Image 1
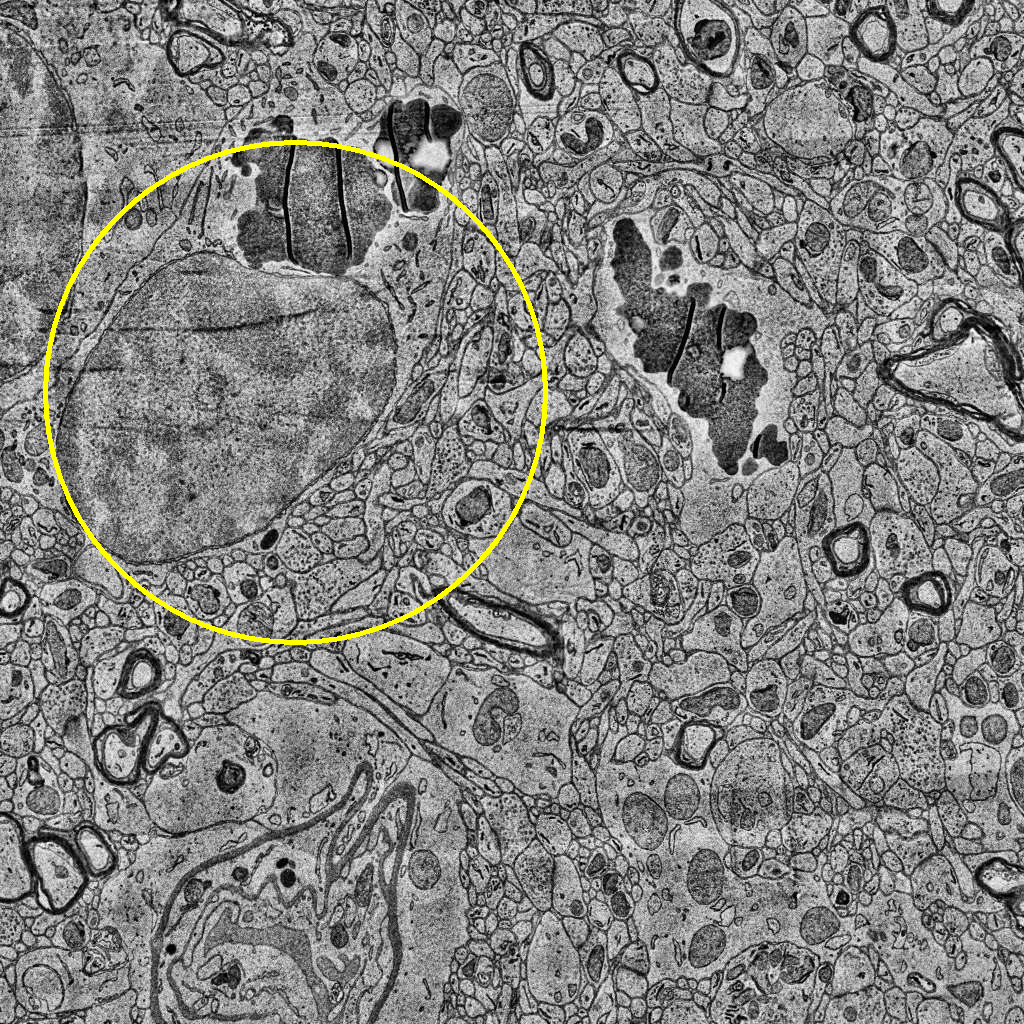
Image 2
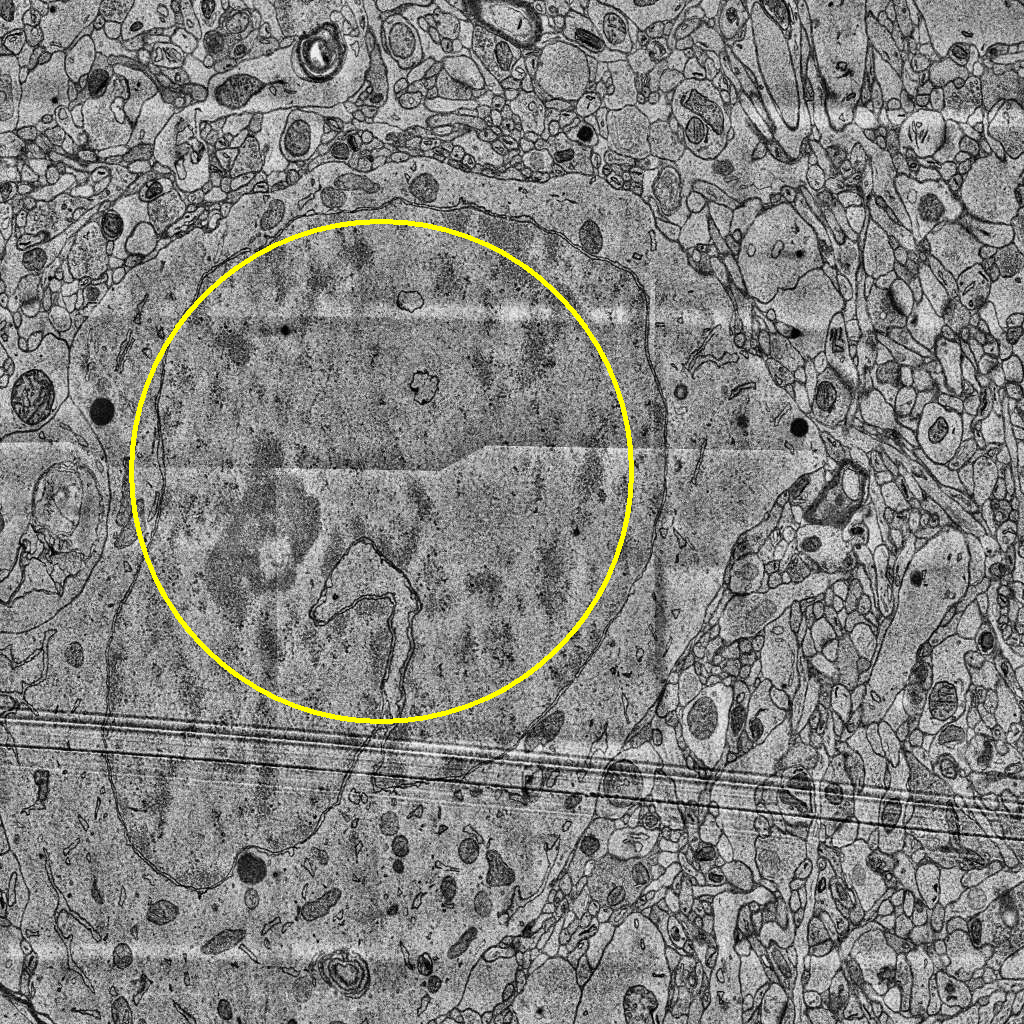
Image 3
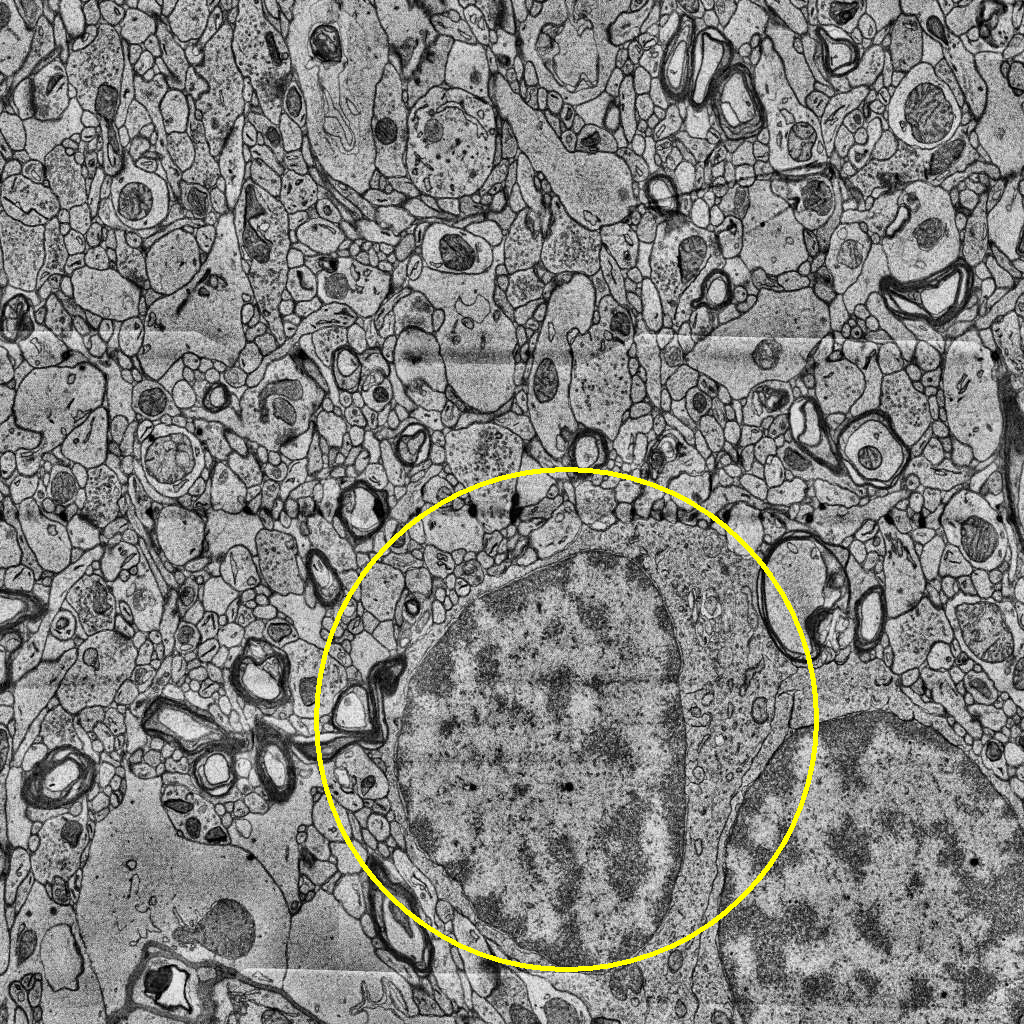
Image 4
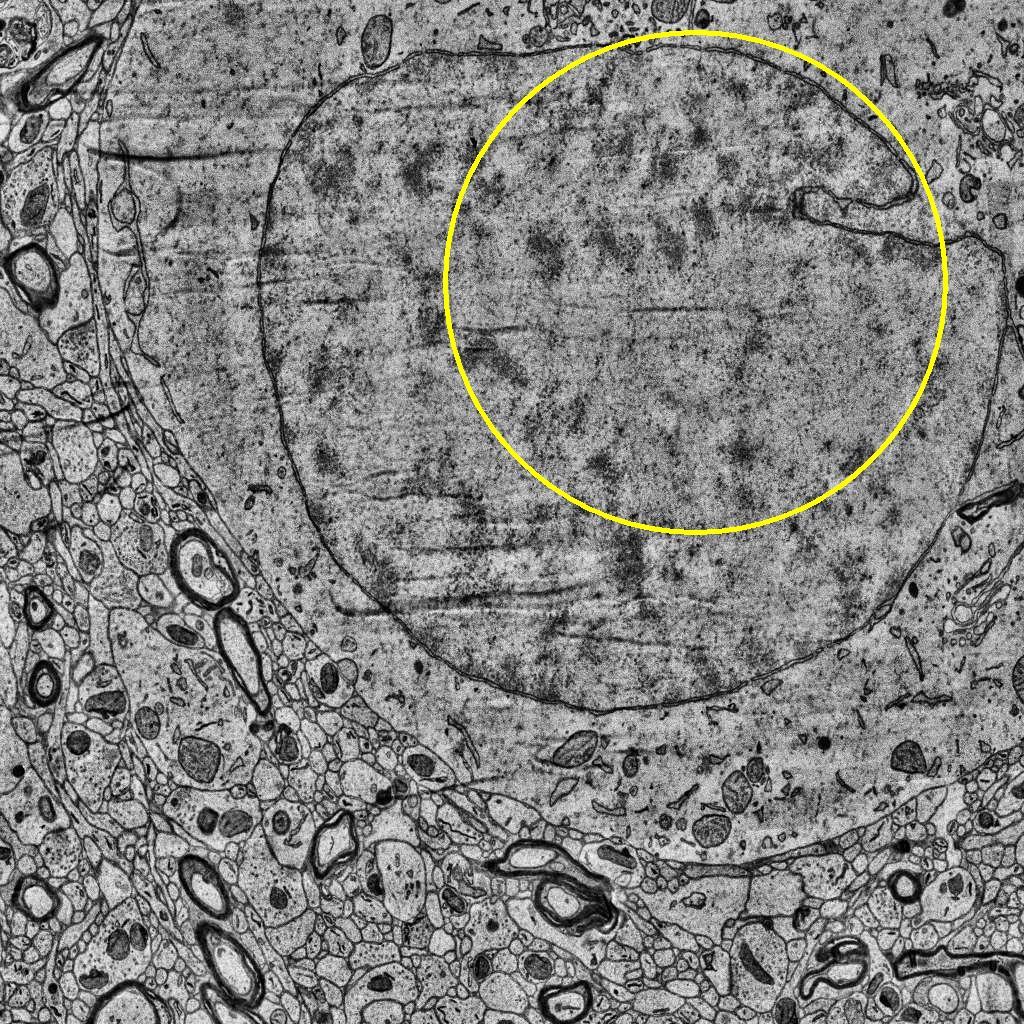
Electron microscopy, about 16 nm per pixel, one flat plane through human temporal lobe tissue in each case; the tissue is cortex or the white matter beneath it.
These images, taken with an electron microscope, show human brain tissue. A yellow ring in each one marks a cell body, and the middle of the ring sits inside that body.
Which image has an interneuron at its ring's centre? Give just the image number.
2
